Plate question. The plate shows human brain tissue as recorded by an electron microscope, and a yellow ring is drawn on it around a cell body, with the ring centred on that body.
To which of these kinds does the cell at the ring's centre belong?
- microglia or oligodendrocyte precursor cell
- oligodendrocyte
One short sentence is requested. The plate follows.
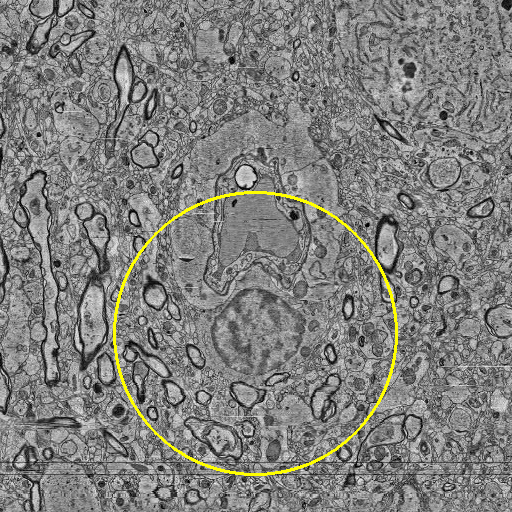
The cell at the ring's centre is an oligodendrocyte.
